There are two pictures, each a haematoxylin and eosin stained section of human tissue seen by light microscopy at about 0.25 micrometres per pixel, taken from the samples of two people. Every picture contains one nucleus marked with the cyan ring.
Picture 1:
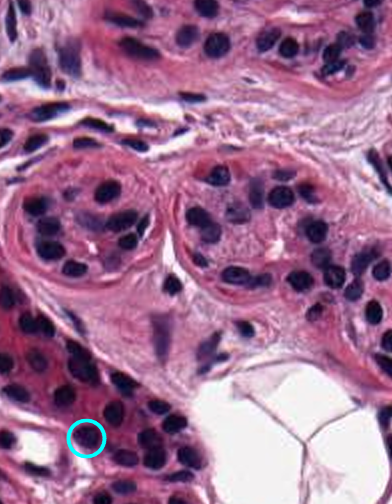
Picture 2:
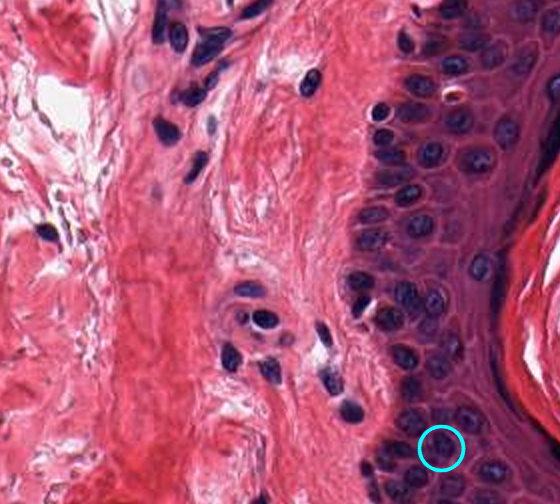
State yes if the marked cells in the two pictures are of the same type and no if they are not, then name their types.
No, the first is a sweat gland cell and the second a keratinocyte.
